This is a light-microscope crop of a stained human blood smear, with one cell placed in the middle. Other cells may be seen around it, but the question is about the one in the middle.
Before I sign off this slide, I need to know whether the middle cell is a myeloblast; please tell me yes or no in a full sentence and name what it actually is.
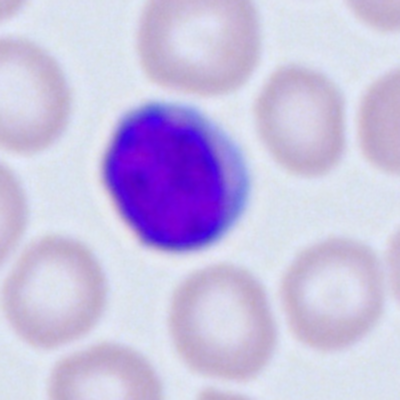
No, the central cell isn't a myeloblast, but a lymphocyte.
